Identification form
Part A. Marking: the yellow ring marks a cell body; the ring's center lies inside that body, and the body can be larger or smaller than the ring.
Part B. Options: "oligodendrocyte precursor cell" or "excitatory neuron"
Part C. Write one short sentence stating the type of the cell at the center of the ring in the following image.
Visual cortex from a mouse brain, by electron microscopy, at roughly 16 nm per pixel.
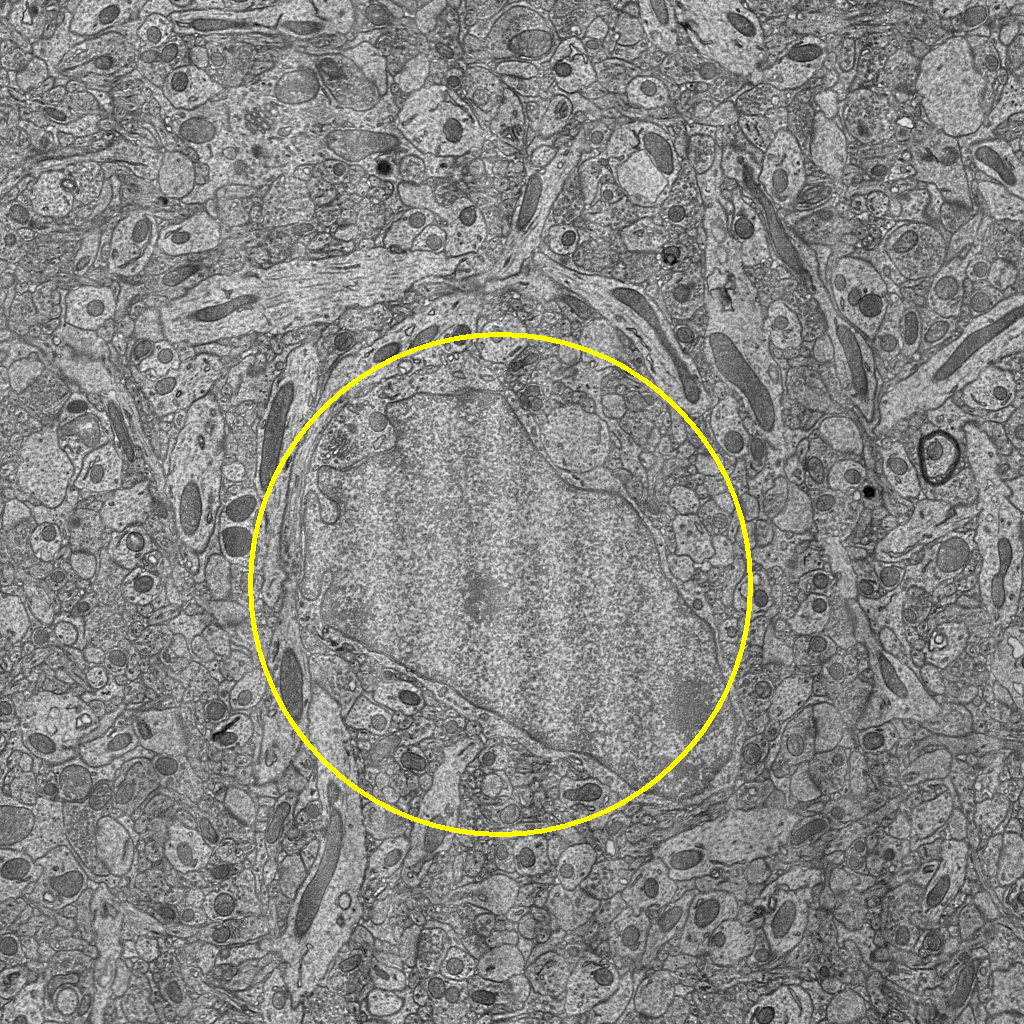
The center of the ring holds an oligodendrocyte precursor cell.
